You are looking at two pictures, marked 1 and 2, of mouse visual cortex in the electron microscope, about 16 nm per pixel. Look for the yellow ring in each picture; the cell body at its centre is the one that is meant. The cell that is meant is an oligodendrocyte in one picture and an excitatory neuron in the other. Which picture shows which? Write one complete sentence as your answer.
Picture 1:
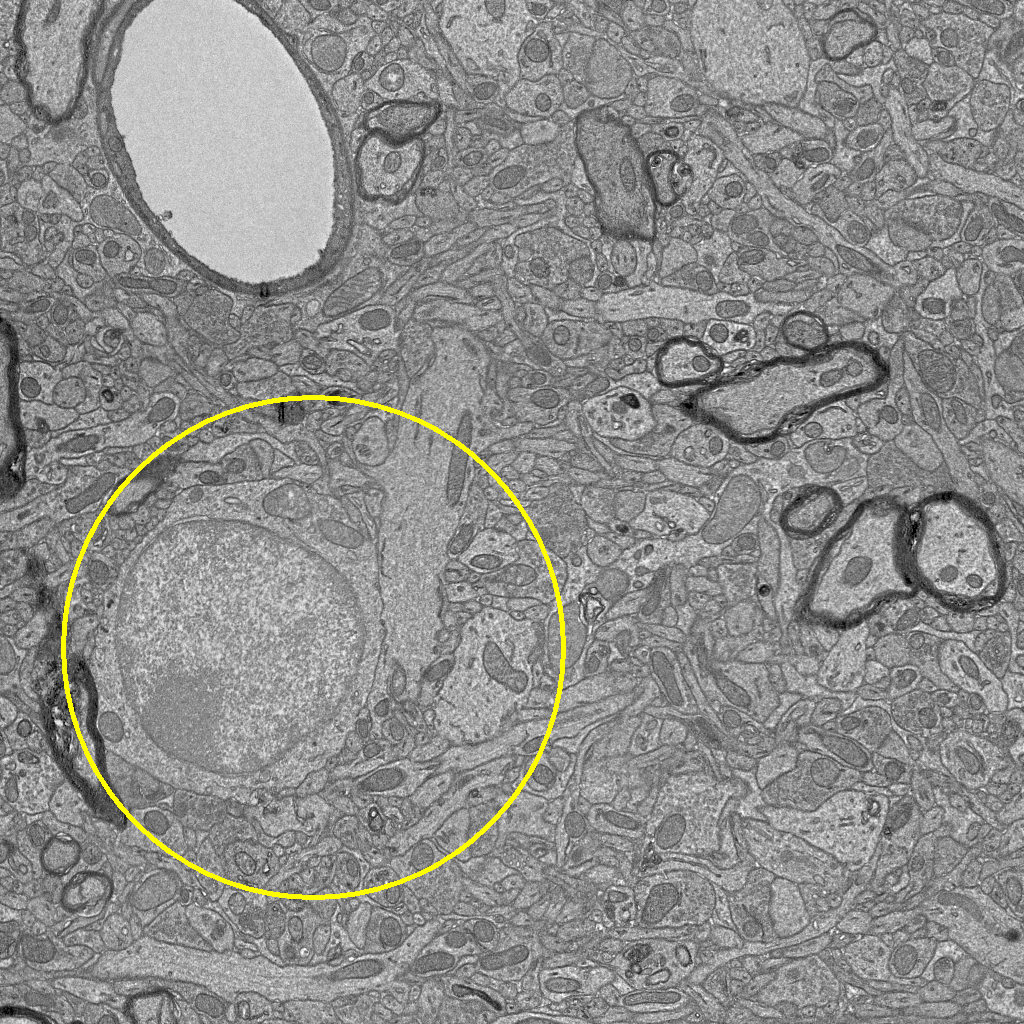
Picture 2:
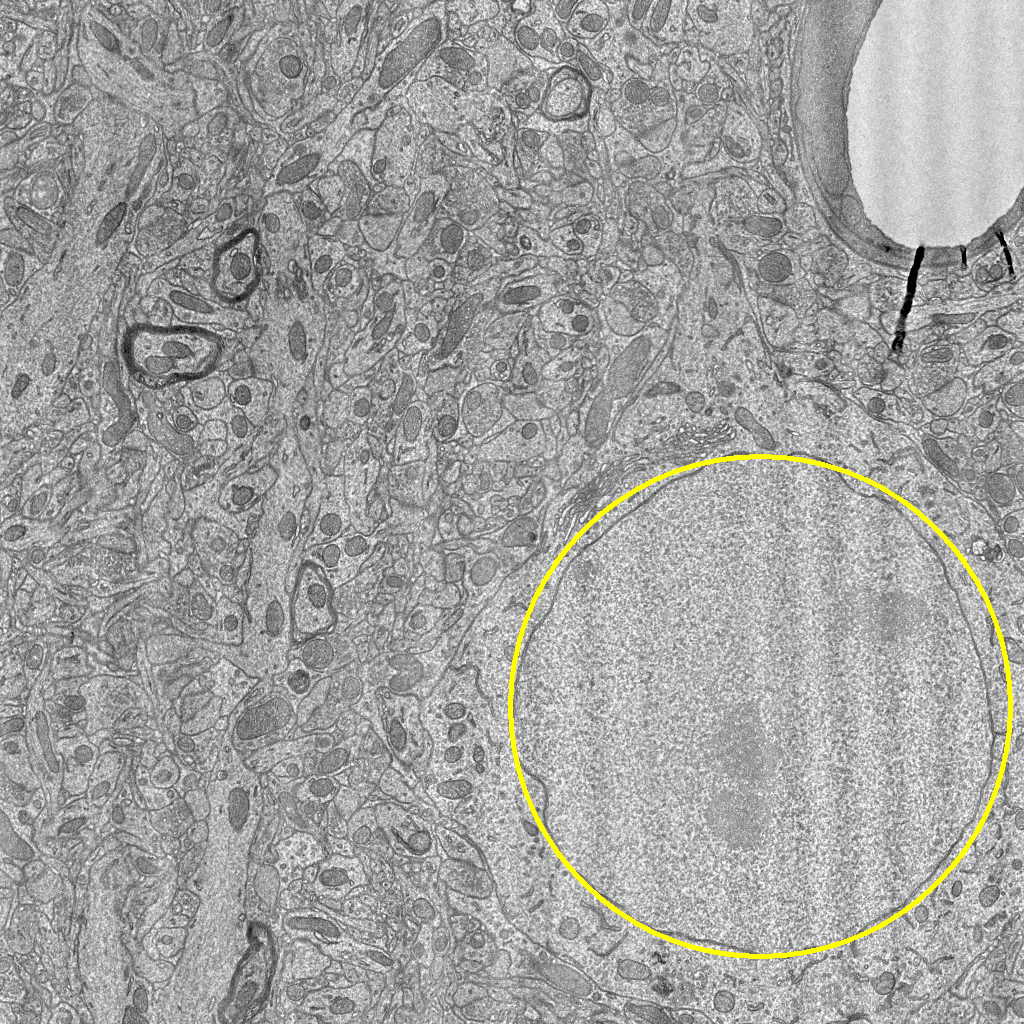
Picture 1 shows an oligodendrocyte and picture 2 shows an excitatory neuron.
